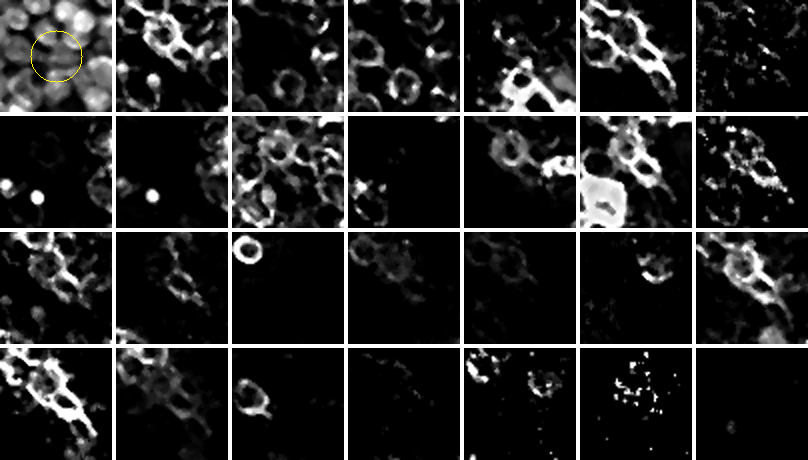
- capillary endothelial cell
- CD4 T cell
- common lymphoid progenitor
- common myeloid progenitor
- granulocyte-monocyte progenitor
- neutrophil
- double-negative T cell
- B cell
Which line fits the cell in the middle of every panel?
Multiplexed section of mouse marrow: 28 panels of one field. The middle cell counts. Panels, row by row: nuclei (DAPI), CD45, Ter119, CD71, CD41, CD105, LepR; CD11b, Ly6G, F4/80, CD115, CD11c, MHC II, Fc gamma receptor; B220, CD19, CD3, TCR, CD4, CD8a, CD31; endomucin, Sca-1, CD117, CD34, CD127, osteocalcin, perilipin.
capillary endothelial cell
